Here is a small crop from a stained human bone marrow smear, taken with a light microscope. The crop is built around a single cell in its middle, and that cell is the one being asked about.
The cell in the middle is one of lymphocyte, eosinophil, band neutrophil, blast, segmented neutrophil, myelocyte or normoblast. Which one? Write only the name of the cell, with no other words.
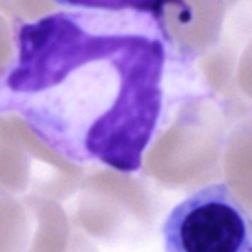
band neutrophil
